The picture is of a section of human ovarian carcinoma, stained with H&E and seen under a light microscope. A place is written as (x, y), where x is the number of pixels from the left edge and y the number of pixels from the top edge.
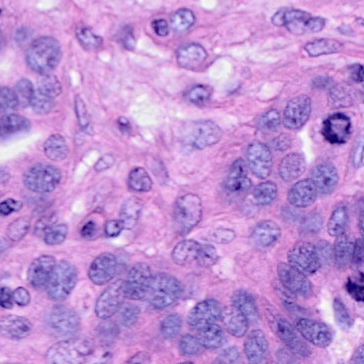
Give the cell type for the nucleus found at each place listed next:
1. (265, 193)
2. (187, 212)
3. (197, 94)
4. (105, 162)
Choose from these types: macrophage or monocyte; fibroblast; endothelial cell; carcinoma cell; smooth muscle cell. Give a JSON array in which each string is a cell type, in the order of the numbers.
["carcinoma cell", "fibroblast", "fibroblast", "fibroblast"]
